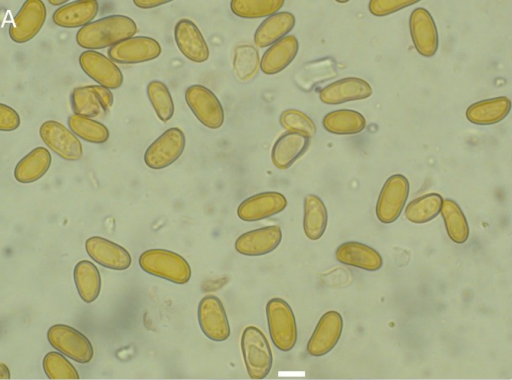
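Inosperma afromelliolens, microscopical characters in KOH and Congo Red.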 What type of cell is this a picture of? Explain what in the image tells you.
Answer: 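Many free, smooth, ellipsoid to bean-shaped bodies of similar size. Walls are yellowish brown and clearly outlined. Several contain refractive droplets. That points to this answer: Basidiospores.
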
